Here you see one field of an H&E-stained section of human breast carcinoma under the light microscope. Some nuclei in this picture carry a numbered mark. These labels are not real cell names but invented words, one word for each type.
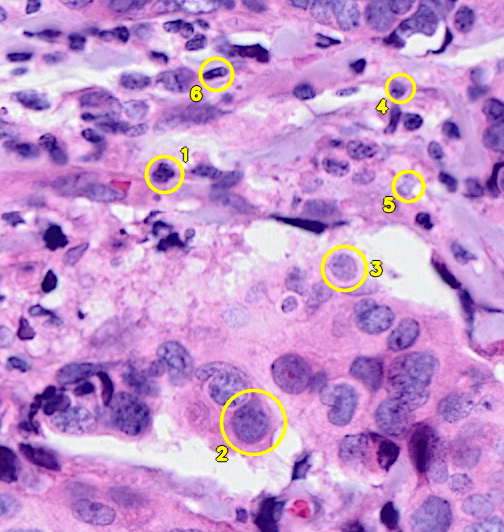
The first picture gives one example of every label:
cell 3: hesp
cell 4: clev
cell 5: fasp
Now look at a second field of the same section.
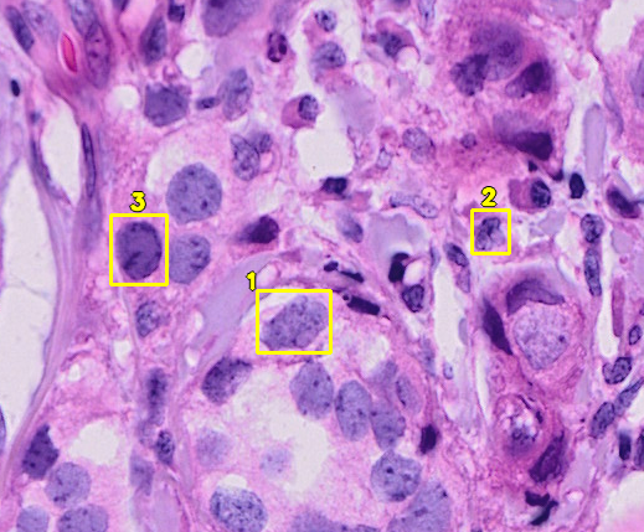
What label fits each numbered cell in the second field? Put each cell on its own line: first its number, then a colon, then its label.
1: hesp
2: fasp
3: hesp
